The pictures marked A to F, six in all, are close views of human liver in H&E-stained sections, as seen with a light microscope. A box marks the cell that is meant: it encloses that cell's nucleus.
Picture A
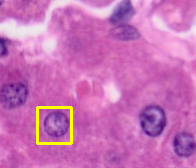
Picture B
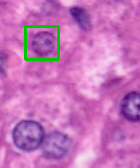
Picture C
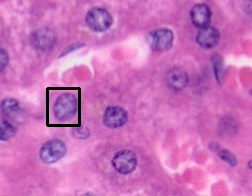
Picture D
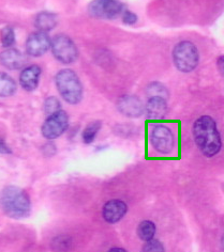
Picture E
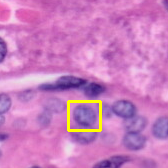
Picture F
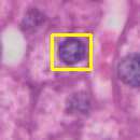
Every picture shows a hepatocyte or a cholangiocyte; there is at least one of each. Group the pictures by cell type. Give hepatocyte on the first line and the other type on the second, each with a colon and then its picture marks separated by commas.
hepatocyte: A, B, F
cholangiocyte: C, D, E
